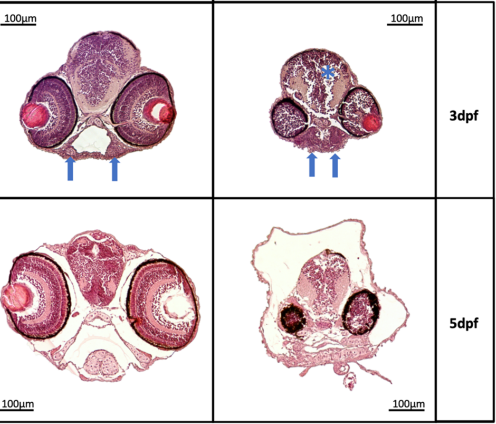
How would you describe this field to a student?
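Transverse sections through a larval fish head: brain, paired eyes with layered retina and a lens, and ventral jaw cartilage. The eyes are large and round, with a dark pigmented outer rim, purple-stained layered retina and a pink lens. In the upper right image the head is smaller and the brain is loose and vacuolated, with many clefts. The eyes are small, and the ventral structures are reduced. In the lower right image the eyes are tiny and heavily pigmented with little retinal layering. A reduced brain sits inside a wide, empty, fluid-filled space bounded by a thin outer layer.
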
